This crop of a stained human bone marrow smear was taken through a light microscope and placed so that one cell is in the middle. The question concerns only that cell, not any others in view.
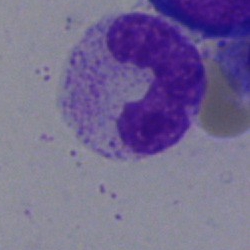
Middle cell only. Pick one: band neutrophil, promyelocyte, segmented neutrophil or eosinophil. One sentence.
At the center of the crop sits a band neutrophil.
